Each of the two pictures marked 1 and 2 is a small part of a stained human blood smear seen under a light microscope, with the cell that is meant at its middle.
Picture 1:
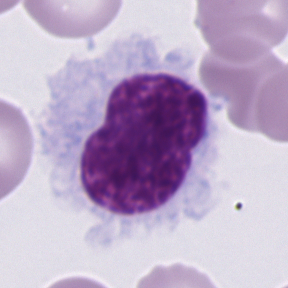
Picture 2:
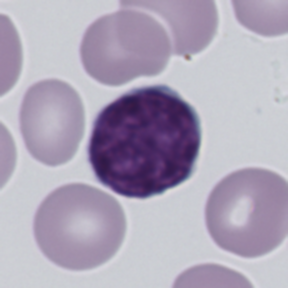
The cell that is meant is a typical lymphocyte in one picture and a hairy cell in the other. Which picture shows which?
1: hairy cell
2: typical lymphocyte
